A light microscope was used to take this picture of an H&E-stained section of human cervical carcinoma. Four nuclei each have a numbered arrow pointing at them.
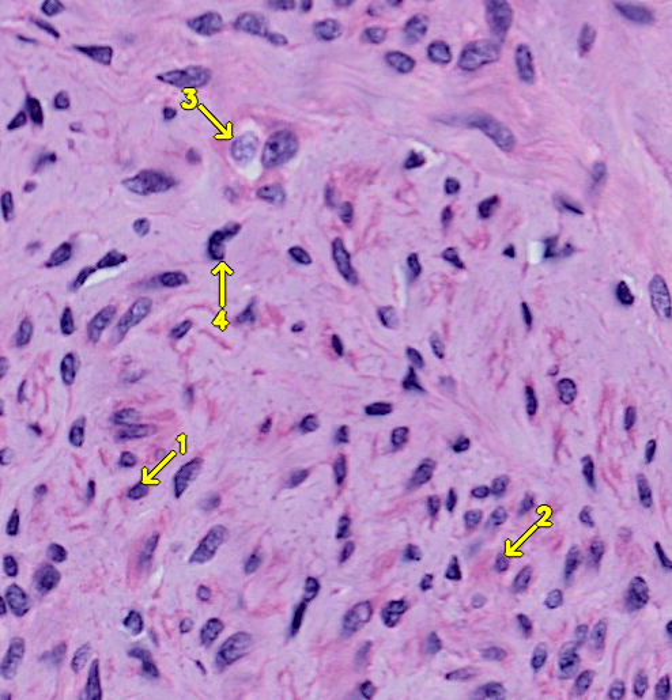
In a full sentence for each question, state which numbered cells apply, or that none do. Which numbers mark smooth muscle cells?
The cells that have numbers 1 and 2 are smooth muscle cells.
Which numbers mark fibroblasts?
The numbered cells include exactly one that is a fibroblast, which is cell 4.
